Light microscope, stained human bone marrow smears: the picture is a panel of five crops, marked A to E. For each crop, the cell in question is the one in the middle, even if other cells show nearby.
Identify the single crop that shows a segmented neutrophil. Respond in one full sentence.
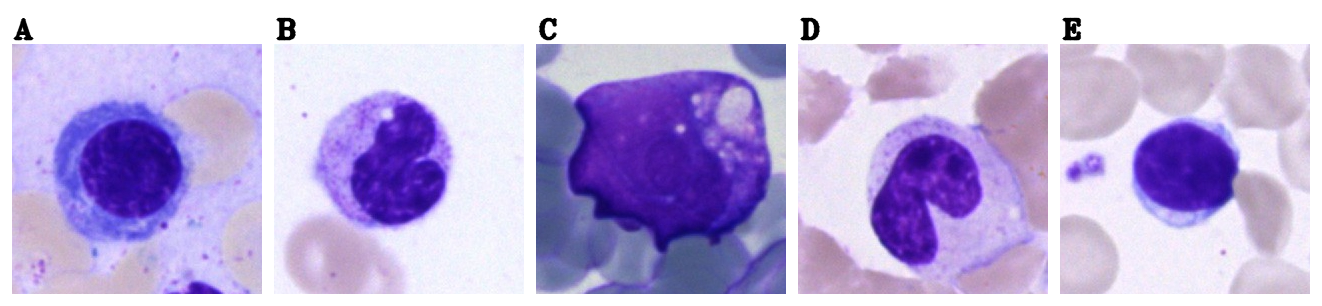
Crop B is the correct crop, and it shows a segmented neutrophil.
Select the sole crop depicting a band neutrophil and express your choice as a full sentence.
The crop carrying a band neutrophil at the center is crop D.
